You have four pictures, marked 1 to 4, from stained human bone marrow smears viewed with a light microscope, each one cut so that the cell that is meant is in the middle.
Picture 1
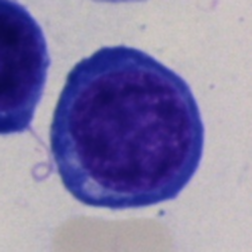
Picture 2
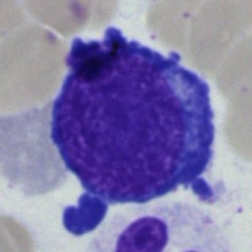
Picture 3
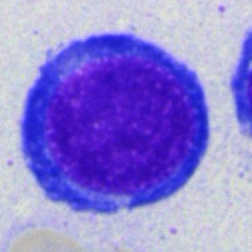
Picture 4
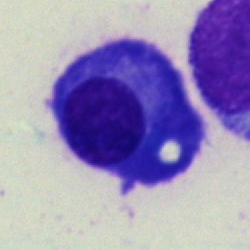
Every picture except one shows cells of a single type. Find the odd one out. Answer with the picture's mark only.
4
